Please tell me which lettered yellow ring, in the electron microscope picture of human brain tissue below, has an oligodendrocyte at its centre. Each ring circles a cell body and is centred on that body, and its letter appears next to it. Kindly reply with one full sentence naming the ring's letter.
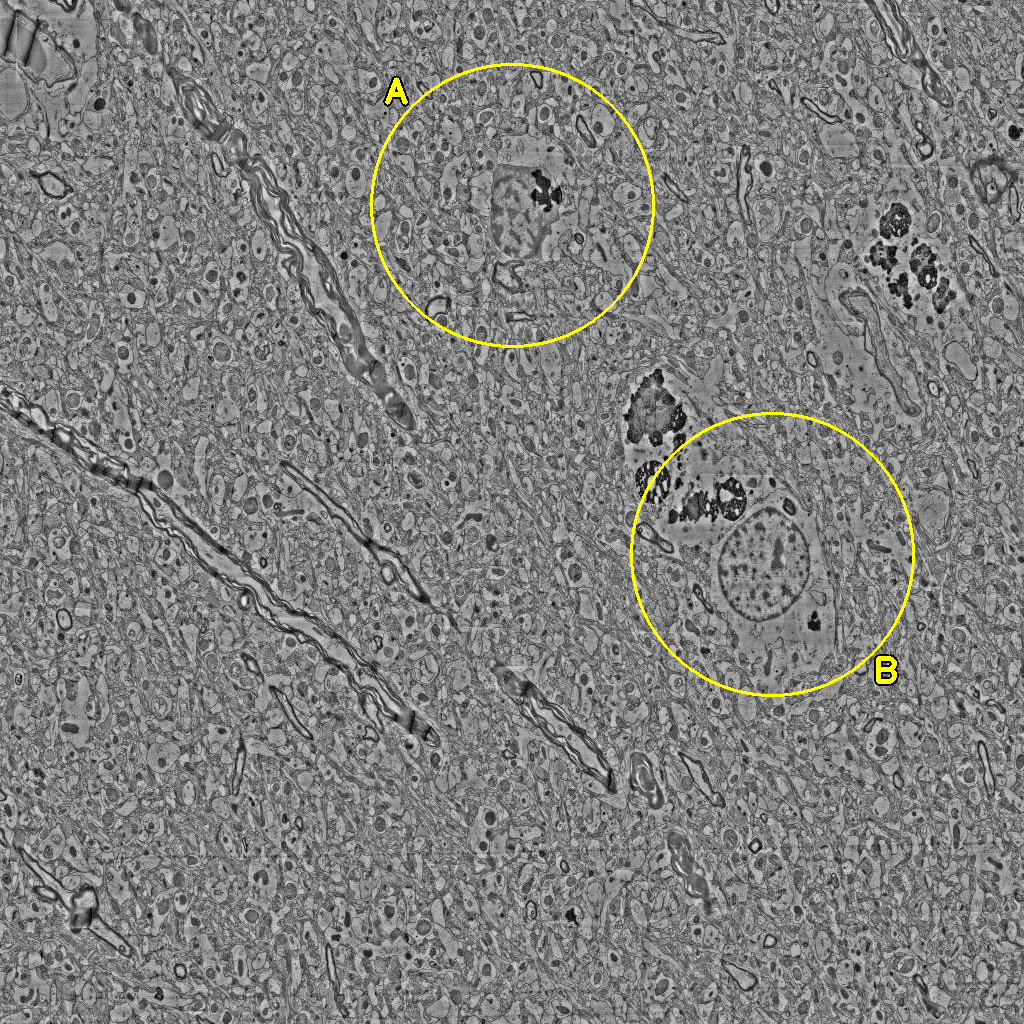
Ring A has the cell asked for at its centre.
